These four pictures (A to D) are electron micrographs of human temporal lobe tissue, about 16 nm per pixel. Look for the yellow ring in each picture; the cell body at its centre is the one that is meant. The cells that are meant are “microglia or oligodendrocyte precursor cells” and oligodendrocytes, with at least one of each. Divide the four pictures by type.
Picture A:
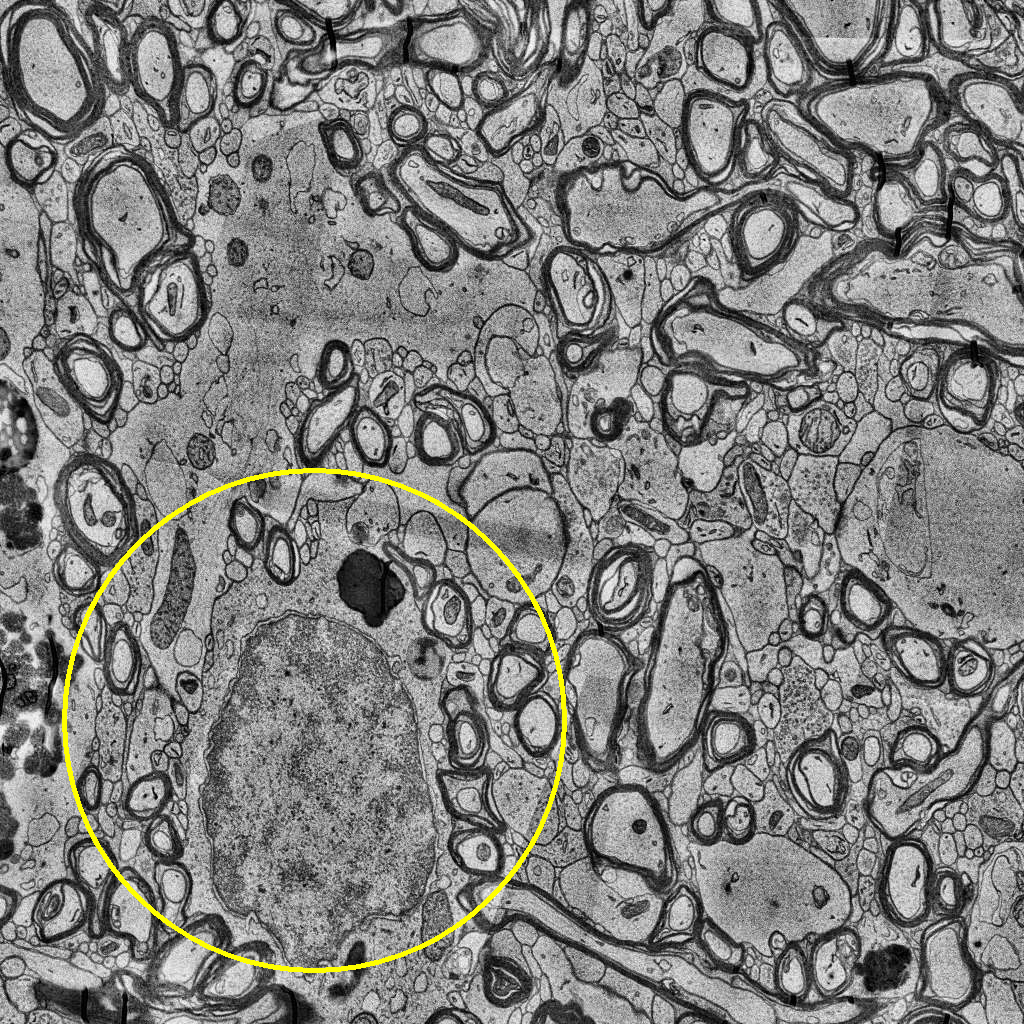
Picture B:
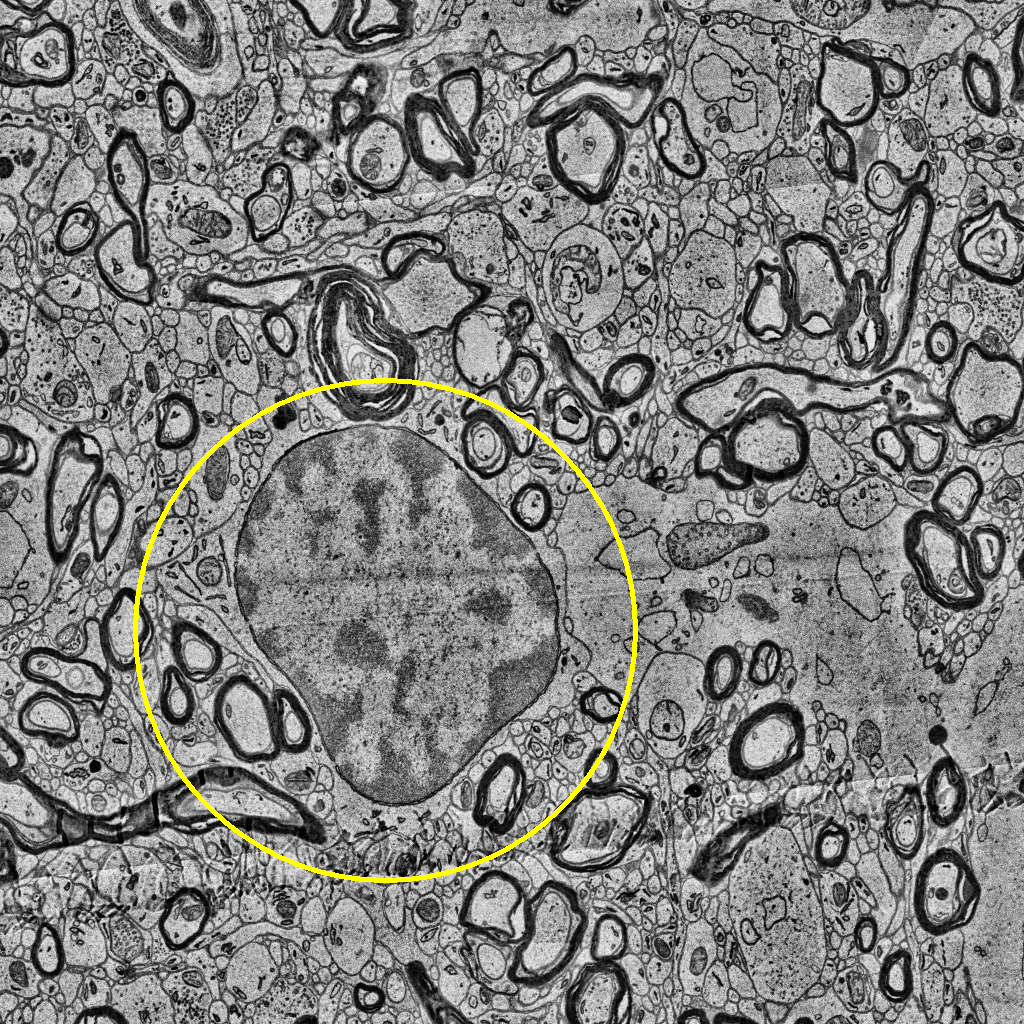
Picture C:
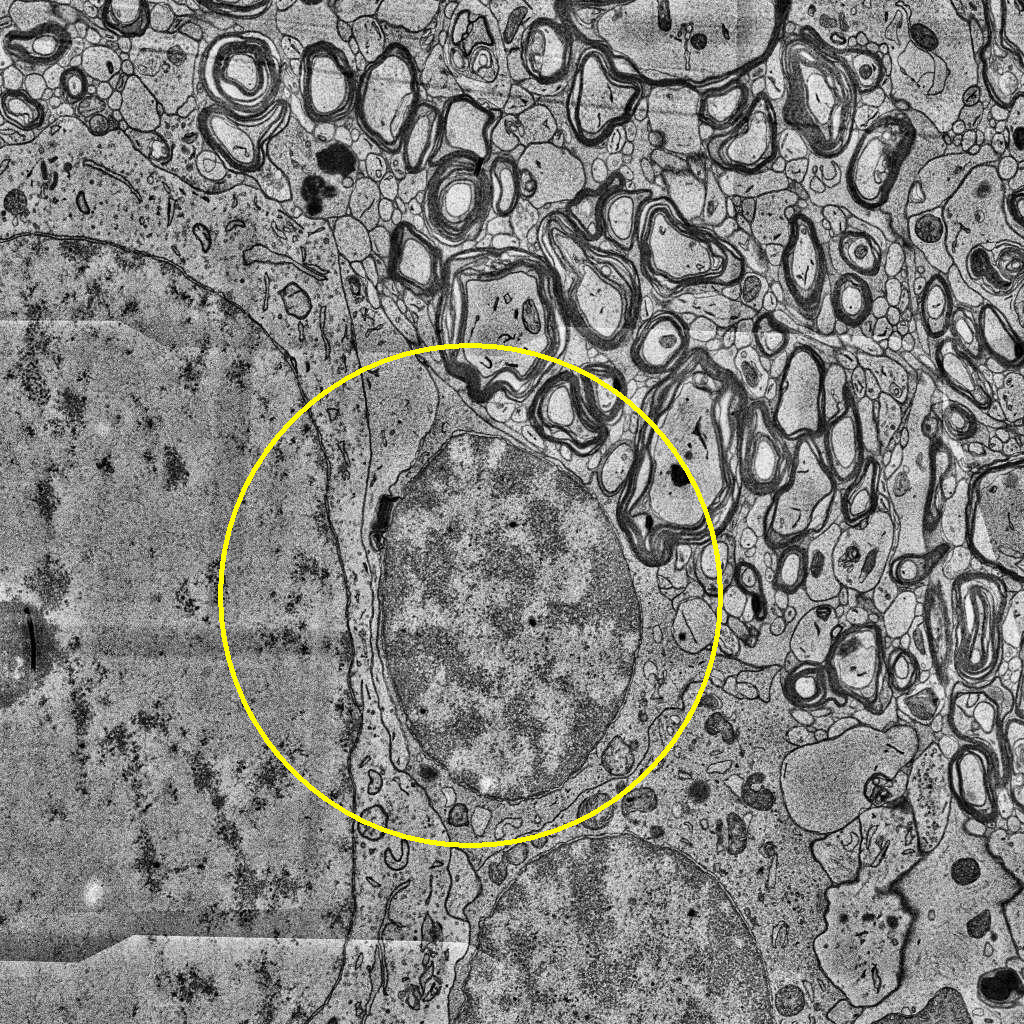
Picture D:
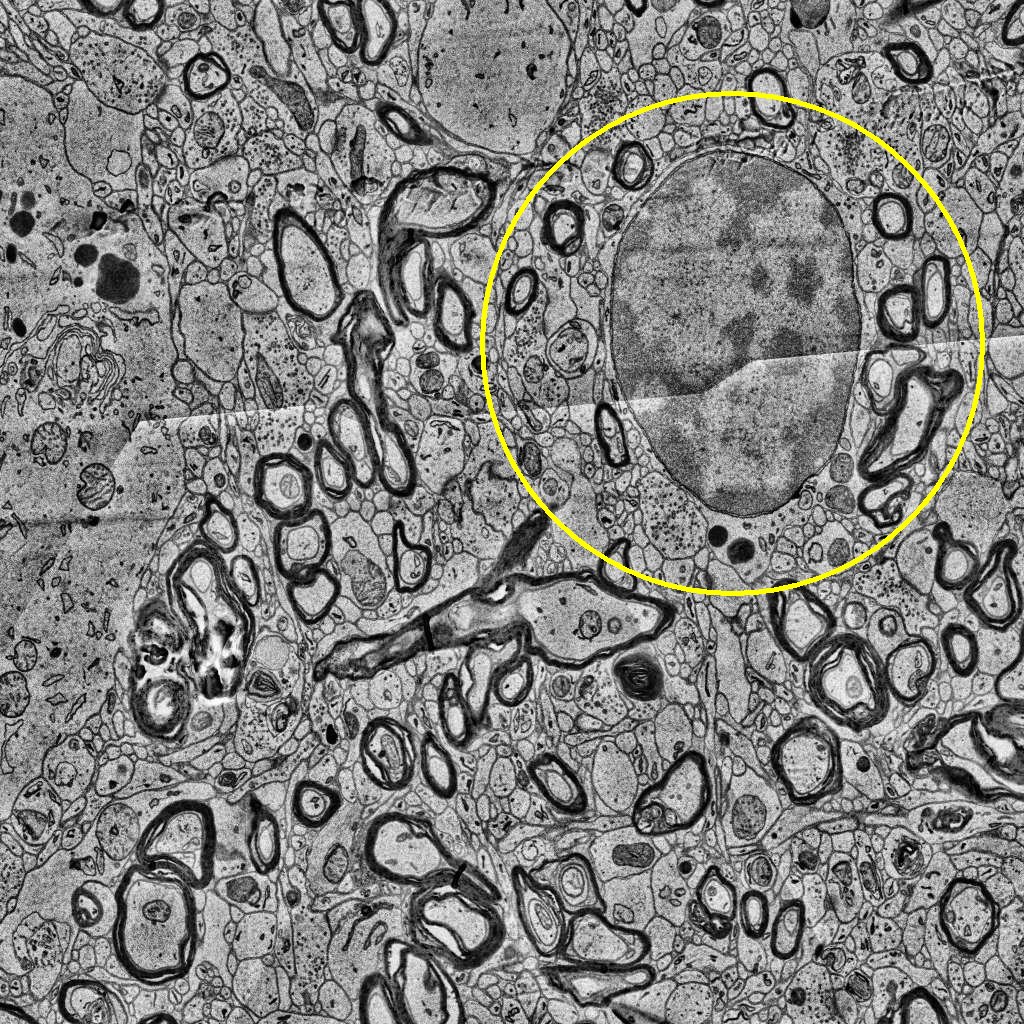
Pictures B and D show “microglia or oligodendrocyte precursor cells”, and pictures A and C show oligodendrocytes.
